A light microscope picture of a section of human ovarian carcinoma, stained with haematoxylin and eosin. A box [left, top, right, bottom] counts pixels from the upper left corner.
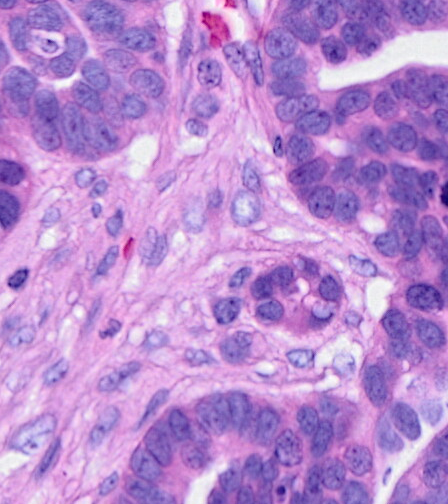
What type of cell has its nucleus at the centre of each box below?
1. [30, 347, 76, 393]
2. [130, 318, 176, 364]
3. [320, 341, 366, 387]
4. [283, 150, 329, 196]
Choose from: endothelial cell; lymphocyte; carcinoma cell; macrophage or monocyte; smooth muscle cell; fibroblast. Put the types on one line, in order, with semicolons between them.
fibroblast; fibroblast; fibroblast; carcinoma cell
